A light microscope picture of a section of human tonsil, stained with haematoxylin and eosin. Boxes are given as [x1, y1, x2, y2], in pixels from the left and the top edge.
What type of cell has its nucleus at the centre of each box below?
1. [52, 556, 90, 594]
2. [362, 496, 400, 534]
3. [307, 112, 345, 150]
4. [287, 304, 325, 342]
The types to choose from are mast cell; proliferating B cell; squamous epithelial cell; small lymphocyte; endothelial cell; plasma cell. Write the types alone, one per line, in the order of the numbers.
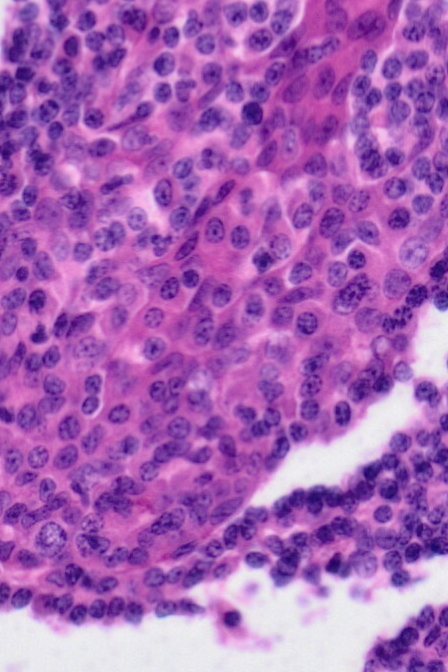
plasma cell
small lymphocyte
squamous epithelial cell
plasma cell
